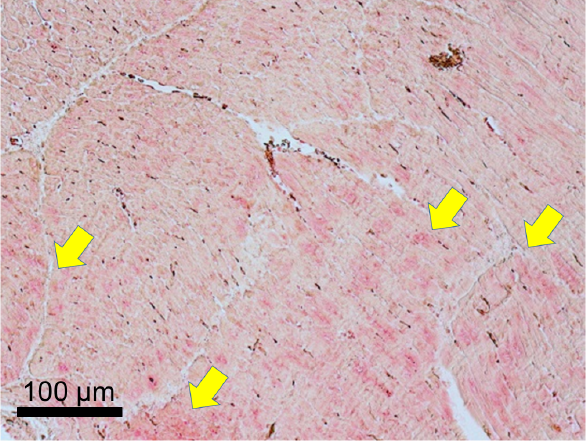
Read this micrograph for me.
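This is a section of heart muscle in which the muscle fibres are grouped into bundles cut at different angles. Pale, thin septa of connective tissue separate the bundles, and small dark brown deposits and thin dark lines lie along some of them. The fibres are stained pink, with some areas showing patchy, more intense pink-red coloring. Small elongated nuclei lie scattered among the fibres.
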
